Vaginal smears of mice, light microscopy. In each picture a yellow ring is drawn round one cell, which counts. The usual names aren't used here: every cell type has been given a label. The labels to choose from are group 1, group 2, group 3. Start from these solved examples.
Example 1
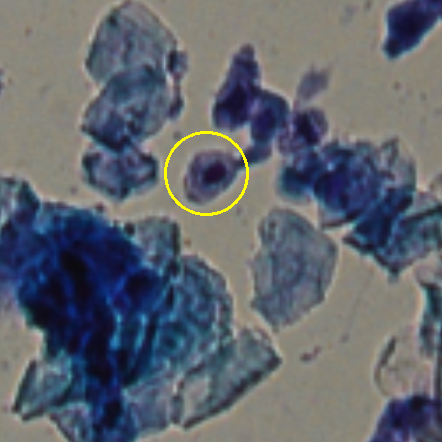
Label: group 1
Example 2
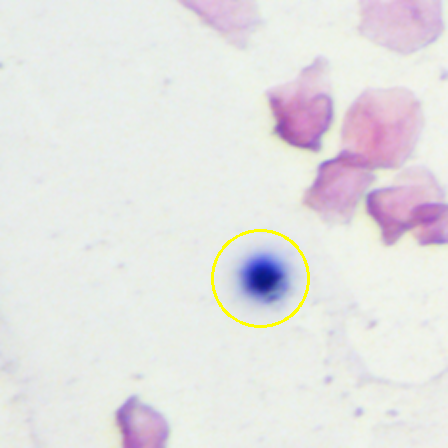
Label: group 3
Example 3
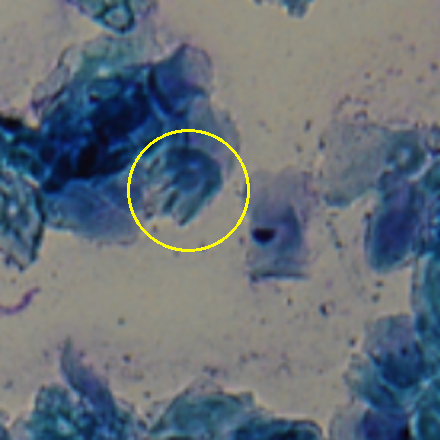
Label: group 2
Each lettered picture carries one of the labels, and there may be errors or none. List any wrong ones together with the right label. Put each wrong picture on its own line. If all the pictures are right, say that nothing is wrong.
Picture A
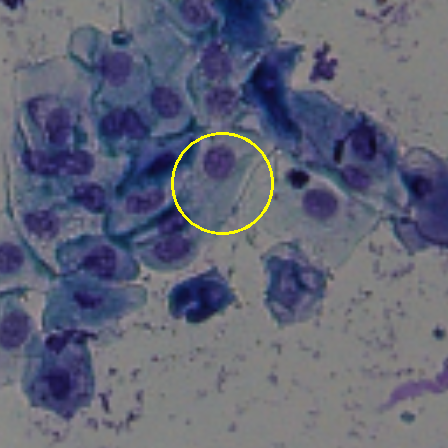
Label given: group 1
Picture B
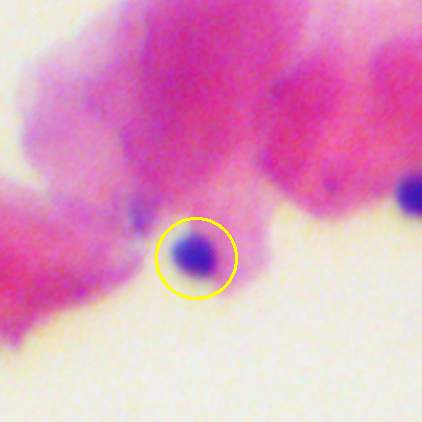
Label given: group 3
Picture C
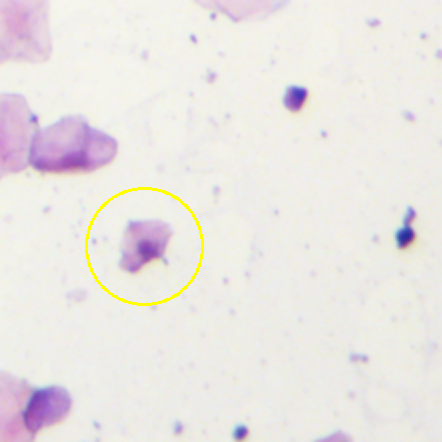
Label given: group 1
All correct.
